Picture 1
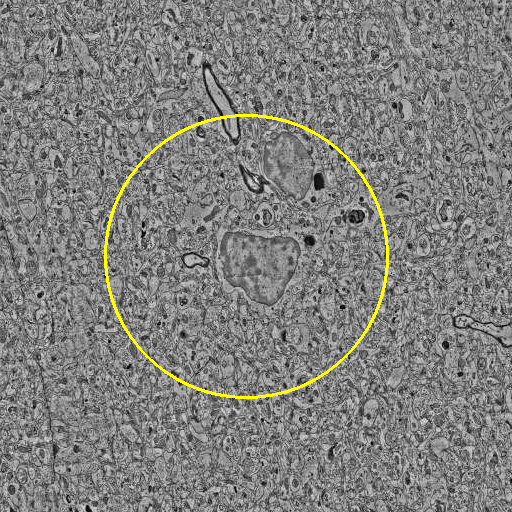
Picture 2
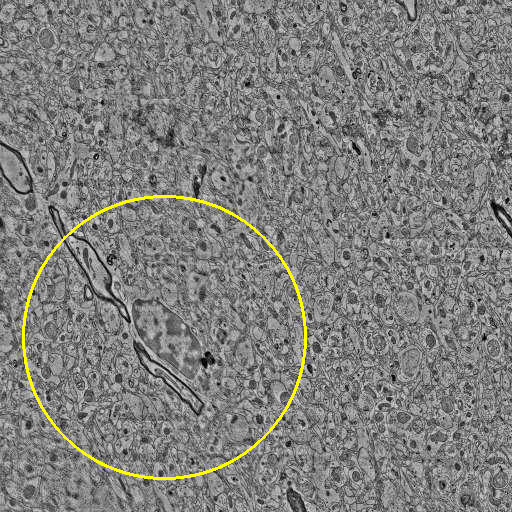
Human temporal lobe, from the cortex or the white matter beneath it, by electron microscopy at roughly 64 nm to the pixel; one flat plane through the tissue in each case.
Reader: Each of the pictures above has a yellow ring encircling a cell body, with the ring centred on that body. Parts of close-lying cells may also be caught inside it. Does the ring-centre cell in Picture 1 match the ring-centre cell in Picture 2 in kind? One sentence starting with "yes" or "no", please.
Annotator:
Yes, Picture 1 and Picture 2 show ring-centre cells of a single kind.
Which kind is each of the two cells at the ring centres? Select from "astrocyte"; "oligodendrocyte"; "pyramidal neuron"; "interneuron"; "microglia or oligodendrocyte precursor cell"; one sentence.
Each of the two cells is a microglial cell or oligodendrocyte precursor cell.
